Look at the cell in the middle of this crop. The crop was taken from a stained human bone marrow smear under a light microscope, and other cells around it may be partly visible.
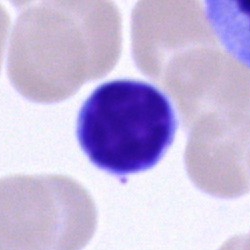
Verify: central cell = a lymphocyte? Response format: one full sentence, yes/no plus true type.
Yes, the cell positioned in the middle is a lymphocyte.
